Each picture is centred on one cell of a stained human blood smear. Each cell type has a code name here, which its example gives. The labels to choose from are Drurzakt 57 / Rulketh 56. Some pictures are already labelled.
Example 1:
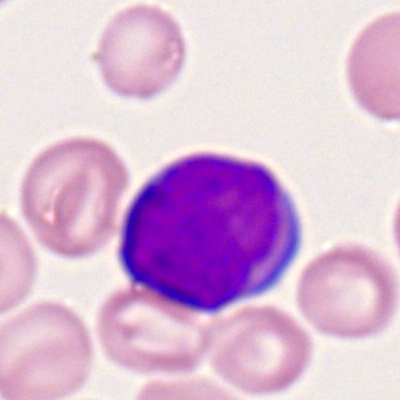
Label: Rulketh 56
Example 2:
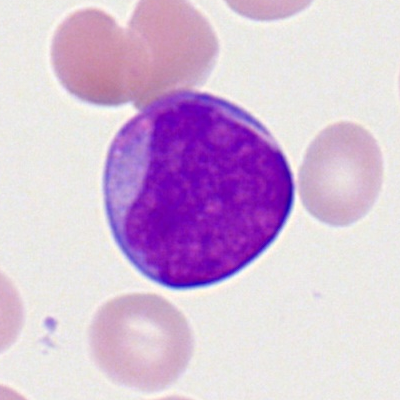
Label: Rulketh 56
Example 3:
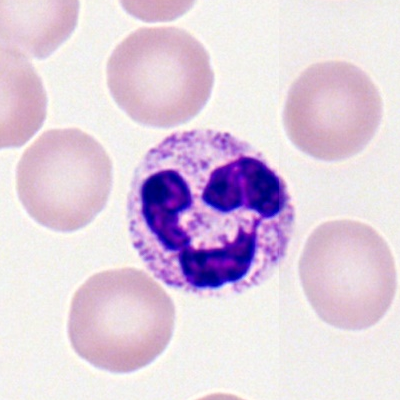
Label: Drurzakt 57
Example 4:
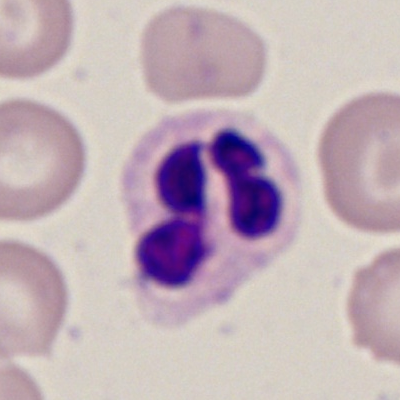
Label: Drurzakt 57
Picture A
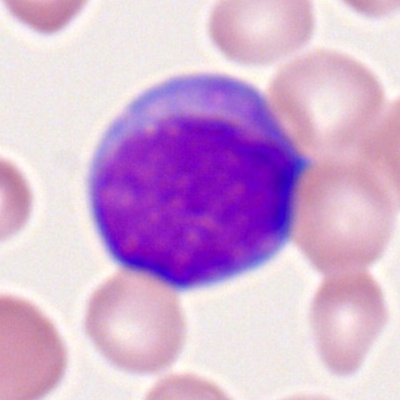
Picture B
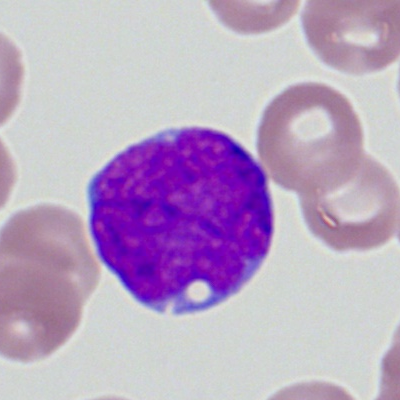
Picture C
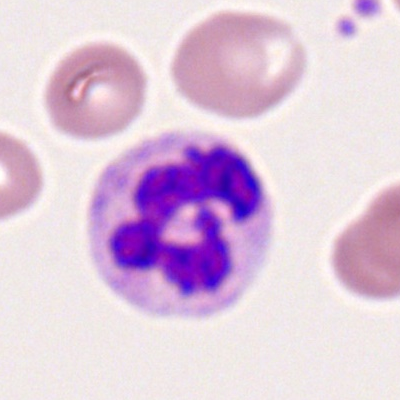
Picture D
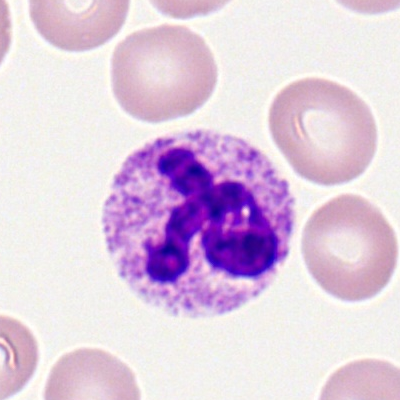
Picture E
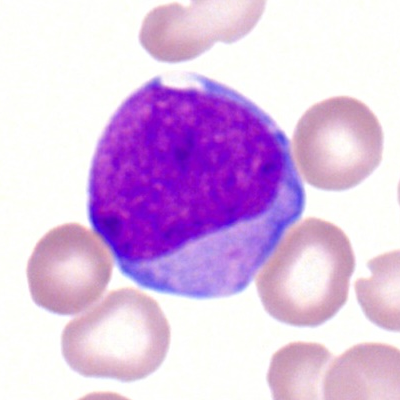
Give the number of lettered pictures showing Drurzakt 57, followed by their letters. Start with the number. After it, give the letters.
Count: 2 (C, D)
